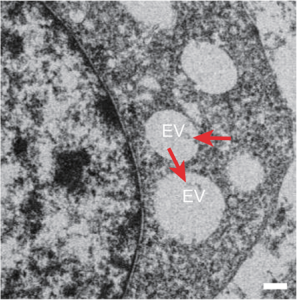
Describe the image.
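This electron micrograph shows part of a cell, with the nucleus on the left and its dense, patchy chromatin beneath a clearly drawn nuclear envelope. To the right, in the granular cytoplasm, lie several large rounded compartments bounded by a membrane. These compartments look pale and fairly even inside. The arrows point to two of them lying close to the nuclear envelope.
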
